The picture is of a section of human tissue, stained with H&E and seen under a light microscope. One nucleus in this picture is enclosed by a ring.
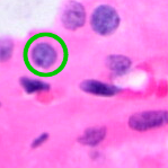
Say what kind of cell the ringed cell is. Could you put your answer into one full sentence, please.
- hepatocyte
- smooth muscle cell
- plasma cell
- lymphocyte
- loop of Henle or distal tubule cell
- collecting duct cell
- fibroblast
It is as a loop of Henle or distal tubule cell that the ringed cell is recorded.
